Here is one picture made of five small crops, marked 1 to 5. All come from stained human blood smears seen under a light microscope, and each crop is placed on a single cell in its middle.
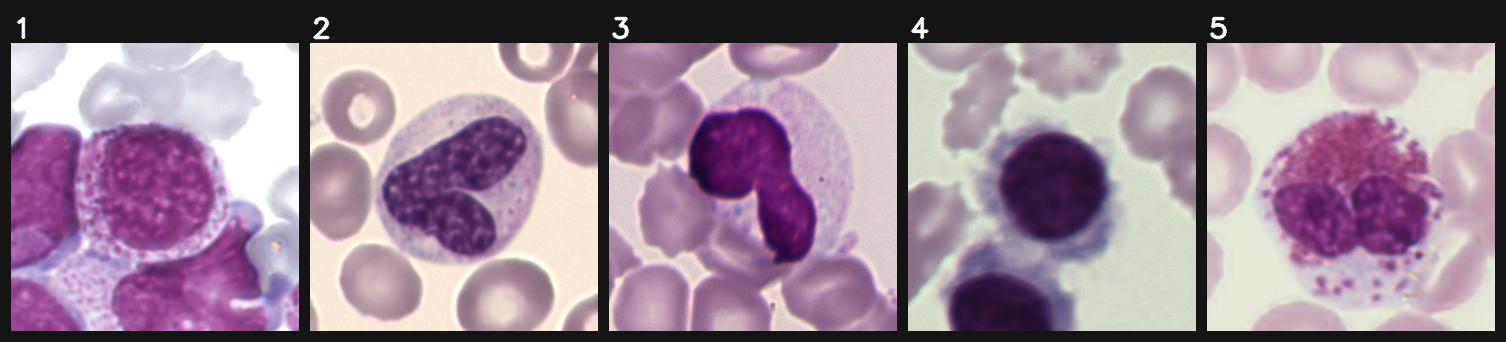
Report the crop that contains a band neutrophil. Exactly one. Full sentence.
The one showing a band neutrophil is the crop labelled 2.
